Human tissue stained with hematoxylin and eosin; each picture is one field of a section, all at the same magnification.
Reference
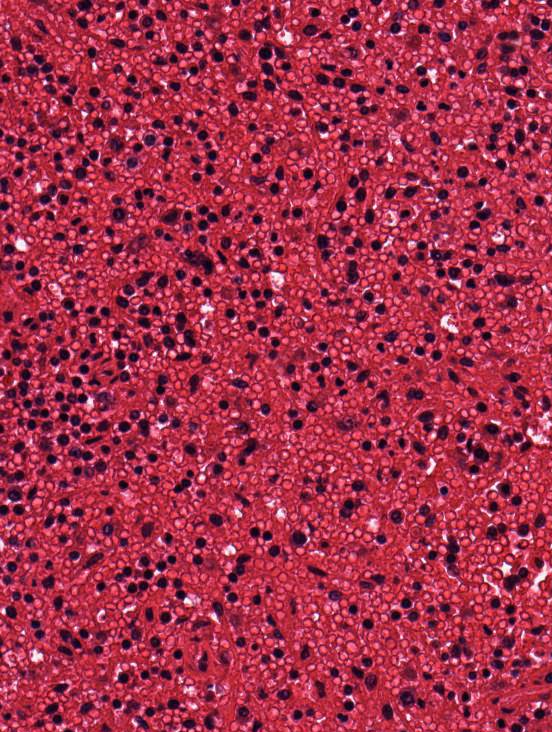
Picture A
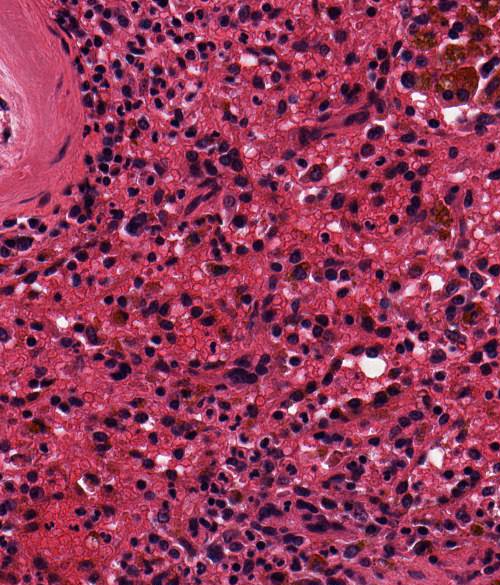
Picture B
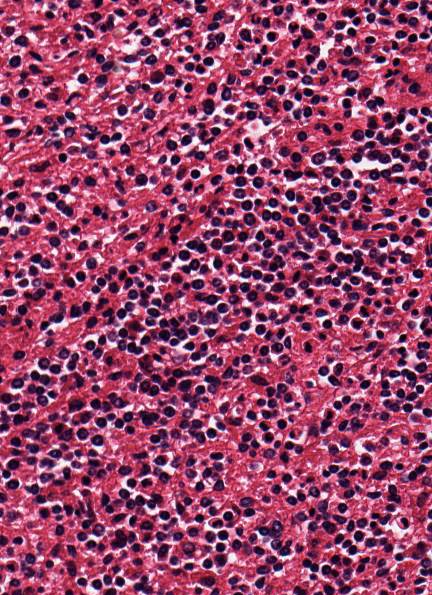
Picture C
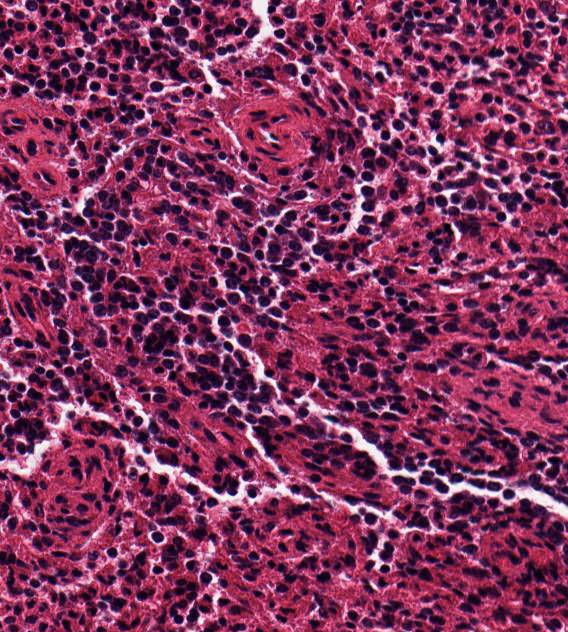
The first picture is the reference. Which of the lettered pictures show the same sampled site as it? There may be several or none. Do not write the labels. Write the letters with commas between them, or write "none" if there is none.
A, B, C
